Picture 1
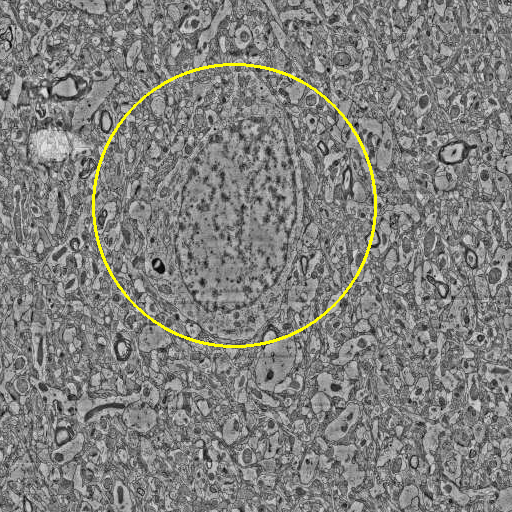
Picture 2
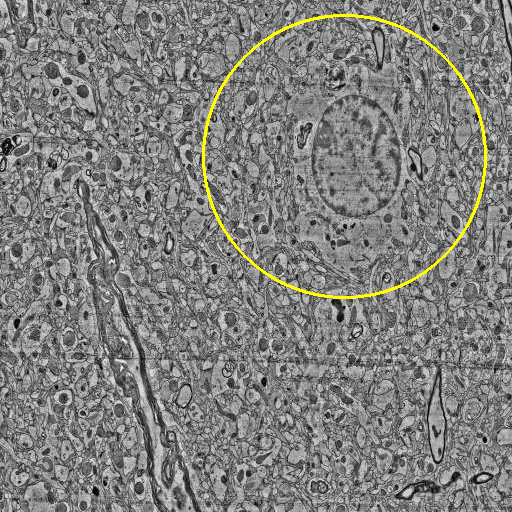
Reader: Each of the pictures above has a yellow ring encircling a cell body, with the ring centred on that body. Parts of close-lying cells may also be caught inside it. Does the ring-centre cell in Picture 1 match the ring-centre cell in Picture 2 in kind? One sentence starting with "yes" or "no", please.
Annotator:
No, Picture 1 and Picture 2 show ring-centre cells of two kinds.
